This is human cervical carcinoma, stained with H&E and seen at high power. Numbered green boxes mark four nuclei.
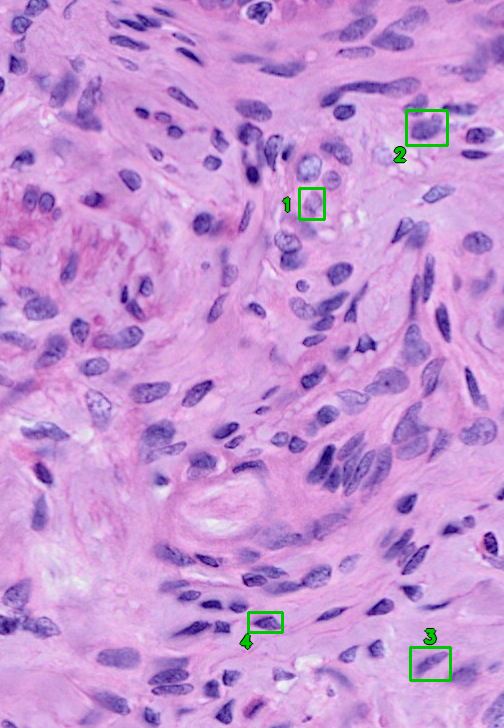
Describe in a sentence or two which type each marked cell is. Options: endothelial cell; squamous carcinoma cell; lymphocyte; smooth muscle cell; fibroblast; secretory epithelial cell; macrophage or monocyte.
Cell 1 is an endothelial cell. Cells 2, 3 and 4 are fibroblasts.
